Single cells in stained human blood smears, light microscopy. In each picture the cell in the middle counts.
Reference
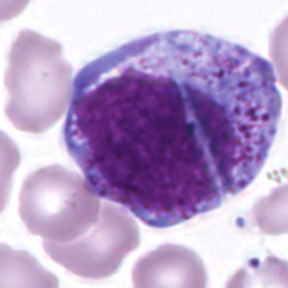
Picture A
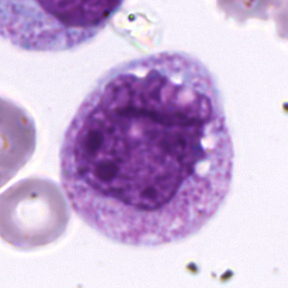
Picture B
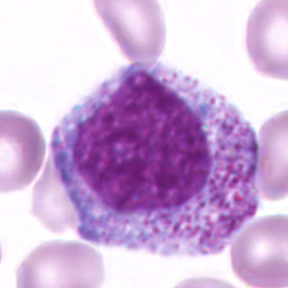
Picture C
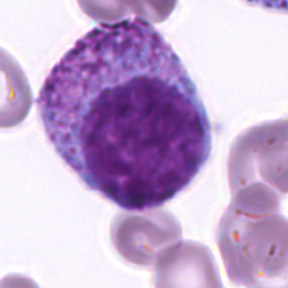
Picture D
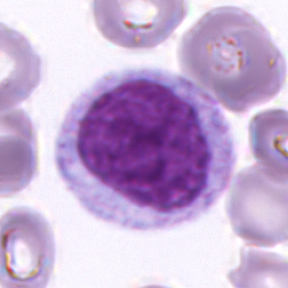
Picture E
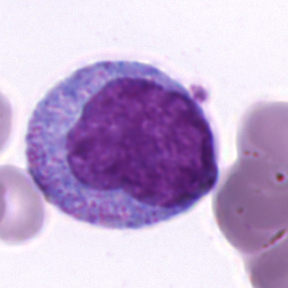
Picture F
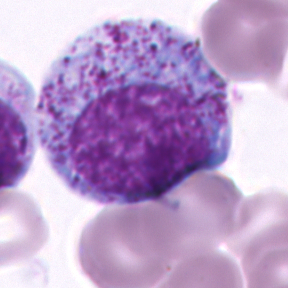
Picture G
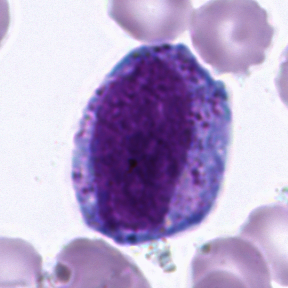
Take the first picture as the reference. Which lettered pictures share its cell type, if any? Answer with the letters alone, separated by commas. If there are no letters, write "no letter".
B, C, E, F, G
